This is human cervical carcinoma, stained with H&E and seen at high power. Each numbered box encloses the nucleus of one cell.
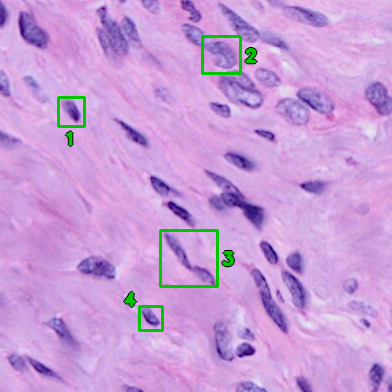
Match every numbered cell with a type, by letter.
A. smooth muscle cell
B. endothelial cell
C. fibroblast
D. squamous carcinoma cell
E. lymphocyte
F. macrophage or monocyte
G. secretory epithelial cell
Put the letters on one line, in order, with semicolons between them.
C; B; C; C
